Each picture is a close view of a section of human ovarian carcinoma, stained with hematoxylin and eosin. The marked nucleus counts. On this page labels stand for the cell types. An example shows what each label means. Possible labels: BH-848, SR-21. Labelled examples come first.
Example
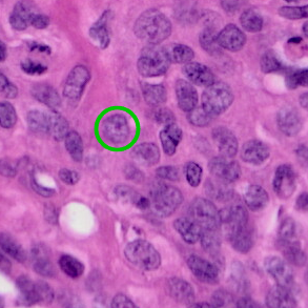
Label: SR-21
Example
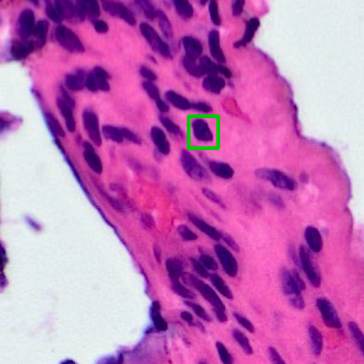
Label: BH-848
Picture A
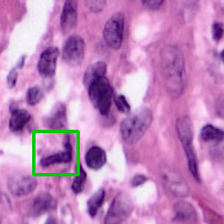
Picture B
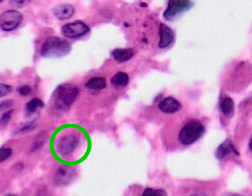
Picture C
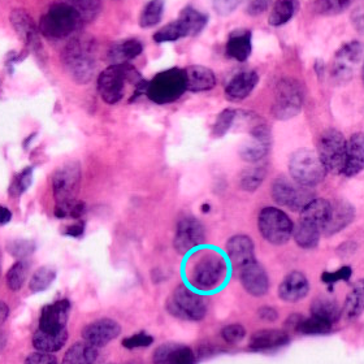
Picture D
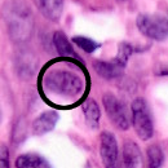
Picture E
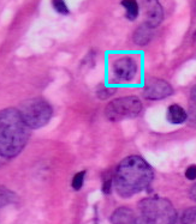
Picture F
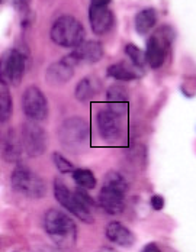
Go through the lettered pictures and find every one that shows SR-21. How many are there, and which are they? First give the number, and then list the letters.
3: C, D, F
